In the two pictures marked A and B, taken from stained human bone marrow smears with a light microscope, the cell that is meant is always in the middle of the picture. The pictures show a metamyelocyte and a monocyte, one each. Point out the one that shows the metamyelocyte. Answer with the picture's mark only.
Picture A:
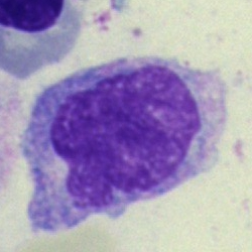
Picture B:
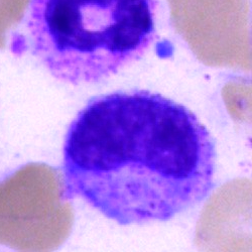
B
